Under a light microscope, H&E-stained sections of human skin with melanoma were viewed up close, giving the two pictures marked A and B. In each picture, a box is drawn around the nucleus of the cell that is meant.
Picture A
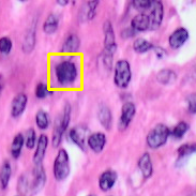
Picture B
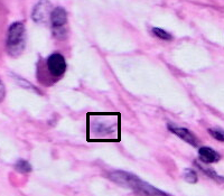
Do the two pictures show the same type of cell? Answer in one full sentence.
No; the cell in picture A is a plasma cell, while the one in picture B is a “fibroblast or myofibroblast”.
